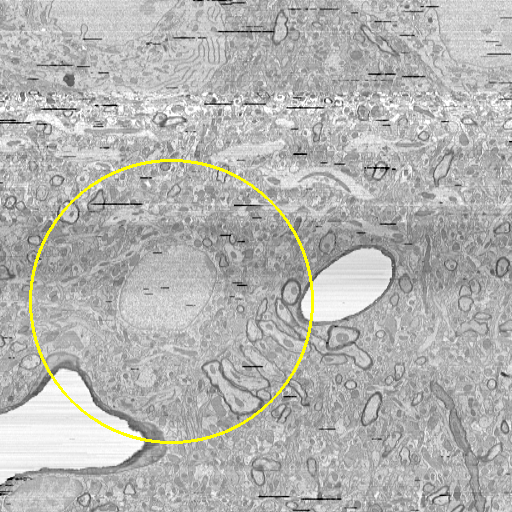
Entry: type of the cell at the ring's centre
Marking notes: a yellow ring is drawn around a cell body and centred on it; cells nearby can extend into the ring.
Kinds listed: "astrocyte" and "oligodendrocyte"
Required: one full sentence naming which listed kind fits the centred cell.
My entry names an astrocyte as the cell whose body the yellow ring centres on.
